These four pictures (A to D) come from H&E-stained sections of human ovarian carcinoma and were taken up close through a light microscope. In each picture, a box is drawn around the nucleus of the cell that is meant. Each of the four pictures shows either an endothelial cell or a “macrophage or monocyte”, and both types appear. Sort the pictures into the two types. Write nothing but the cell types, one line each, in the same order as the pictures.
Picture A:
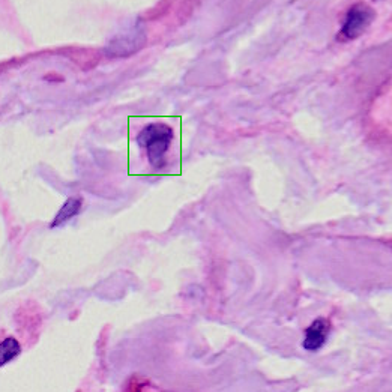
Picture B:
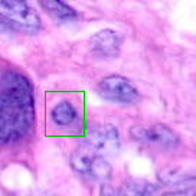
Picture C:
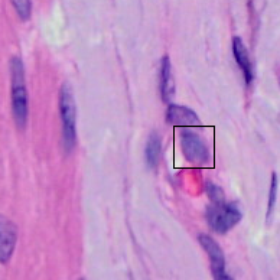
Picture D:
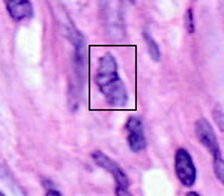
macrophage or monocyte
macrophage or monocyte
endothelial cell
macrophage or monocyte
